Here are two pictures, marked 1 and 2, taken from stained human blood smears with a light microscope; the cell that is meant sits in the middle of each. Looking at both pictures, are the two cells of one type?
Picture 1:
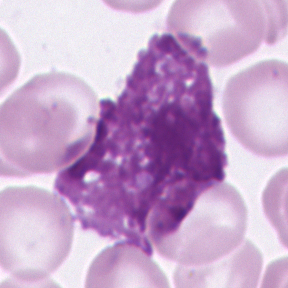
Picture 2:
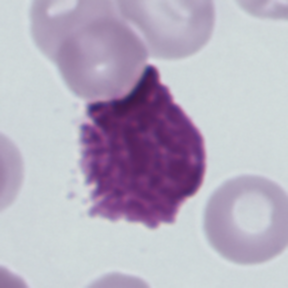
yes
